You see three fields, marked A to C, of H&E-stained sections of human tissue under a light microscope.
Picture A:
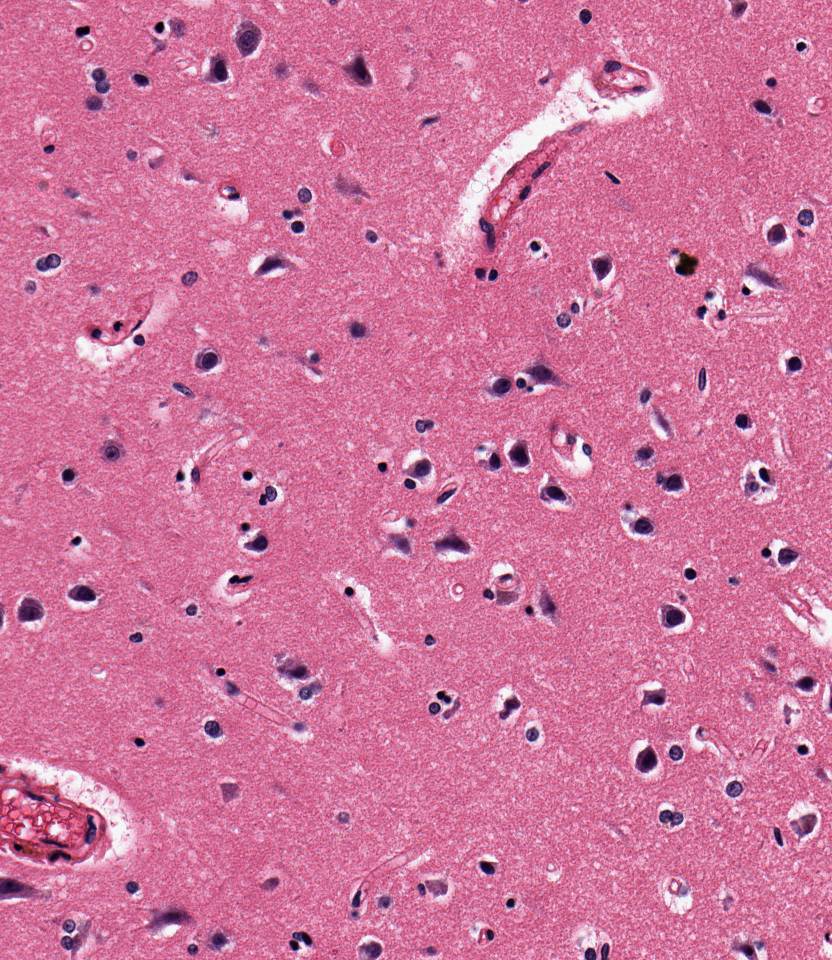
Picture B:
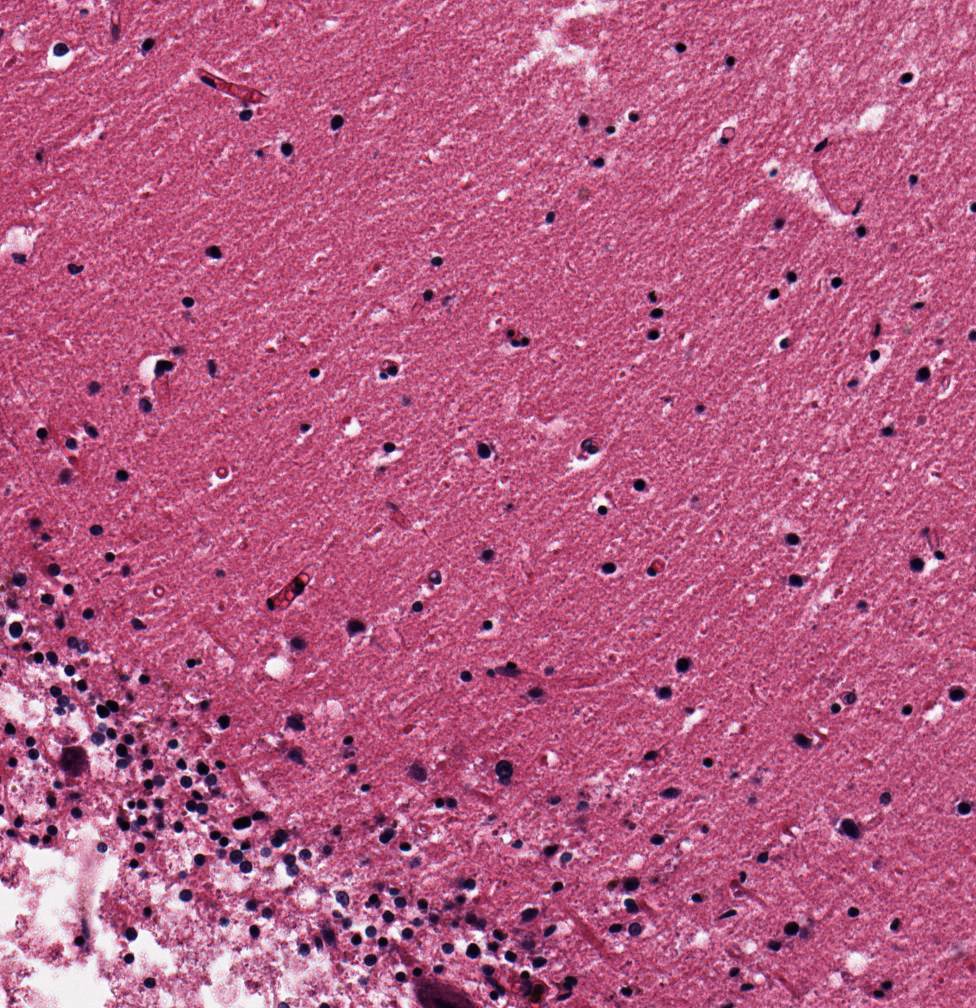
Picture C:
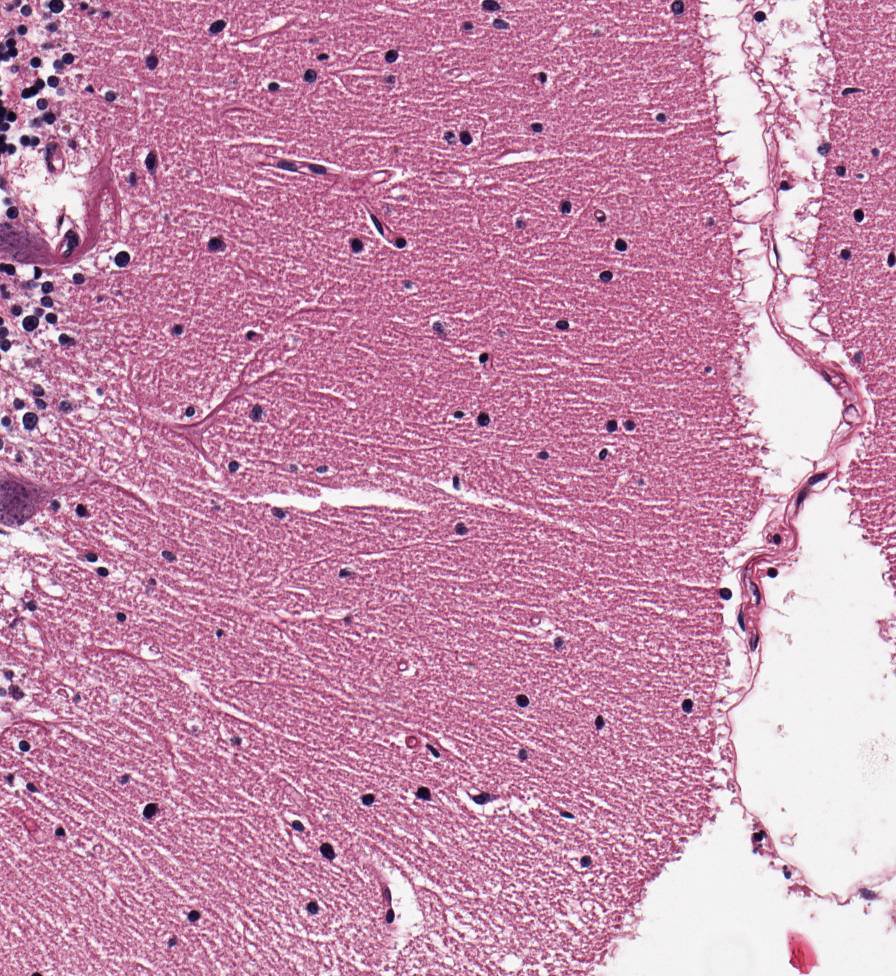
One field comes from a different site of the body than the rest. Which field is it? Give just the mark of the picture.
A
